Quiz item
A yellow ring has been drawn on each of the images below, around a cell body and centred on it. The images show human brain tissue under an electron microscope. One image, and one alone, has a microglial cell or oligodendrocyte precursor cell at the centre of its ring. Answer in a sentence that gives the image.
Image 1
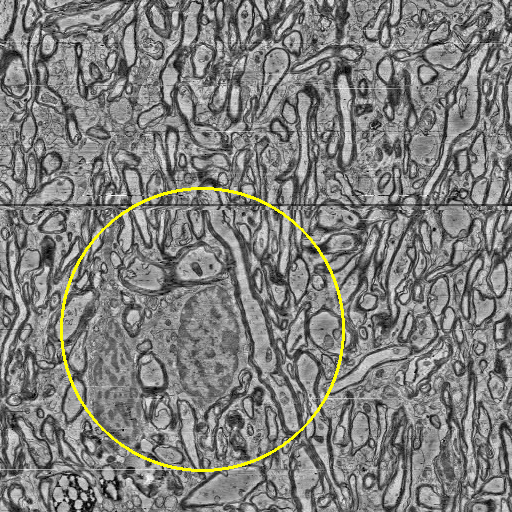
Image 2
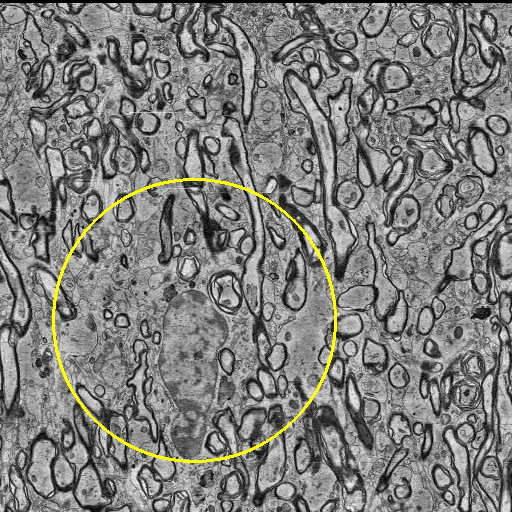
Image 2 shows it at the centre of the ring.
